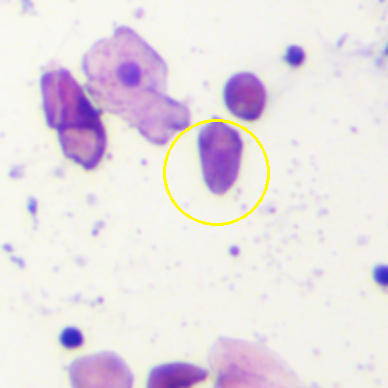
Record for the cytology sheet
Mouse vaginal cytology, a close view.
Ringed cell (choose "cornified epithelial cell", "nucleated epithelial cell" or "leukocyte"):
cornified epithelial cell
